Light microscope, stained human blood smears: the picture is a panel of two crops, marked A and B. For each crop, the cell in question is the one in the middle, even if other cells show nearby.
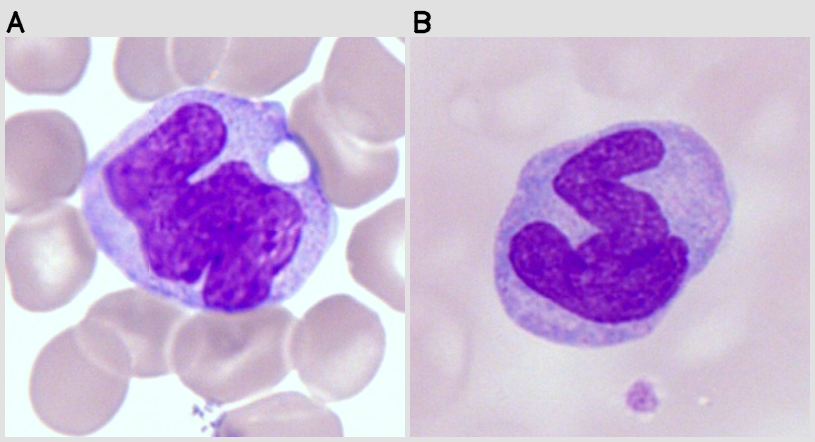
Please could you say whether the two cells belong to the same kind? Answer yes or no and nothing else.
yes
